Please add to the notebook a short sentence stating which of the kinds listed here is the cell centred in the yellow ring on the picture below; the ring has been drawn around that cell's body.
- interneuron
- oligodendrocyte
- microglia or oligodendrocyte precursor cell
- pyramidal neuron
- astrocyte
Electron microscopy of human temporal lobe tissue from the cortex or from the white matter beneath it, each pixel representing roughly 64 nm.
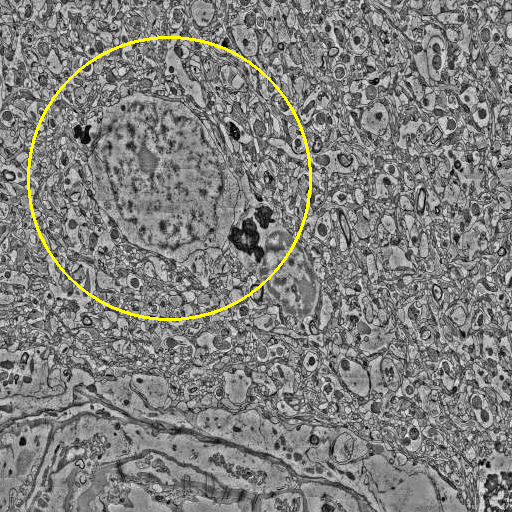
The cell centred in the yellow ring is an interneuron.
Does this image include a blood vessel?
Yes, there is a blood vessel in the image.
